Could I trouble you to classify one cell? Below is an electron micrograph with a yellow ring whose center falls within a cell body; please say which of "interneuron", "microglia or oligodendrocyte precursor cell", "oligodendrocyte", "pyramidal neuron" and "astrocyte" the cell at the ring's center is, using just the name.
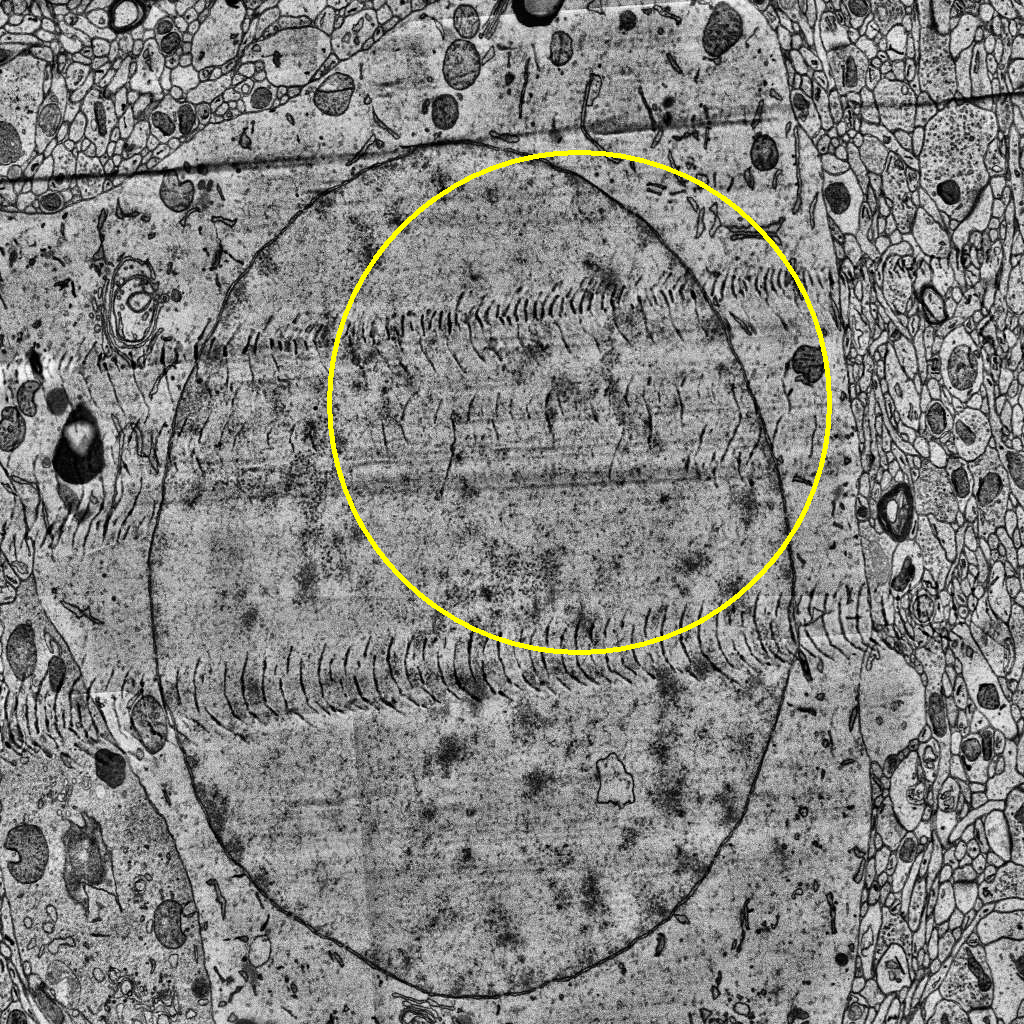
pyramidal neuron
